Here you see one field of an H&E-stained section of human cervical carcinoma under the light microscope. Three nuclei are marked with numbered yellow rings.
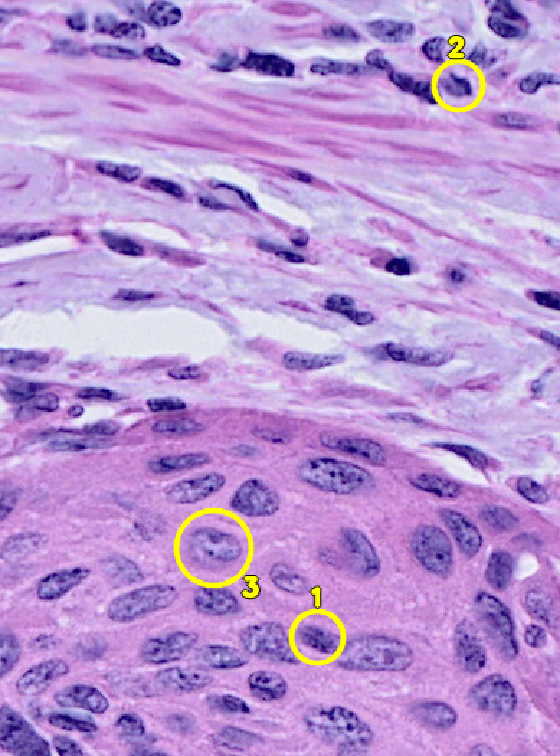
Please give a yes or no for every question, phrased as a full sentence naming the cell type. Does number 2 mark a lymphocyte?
Yes, the marked cell numbered 2 is a lymphocyte.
